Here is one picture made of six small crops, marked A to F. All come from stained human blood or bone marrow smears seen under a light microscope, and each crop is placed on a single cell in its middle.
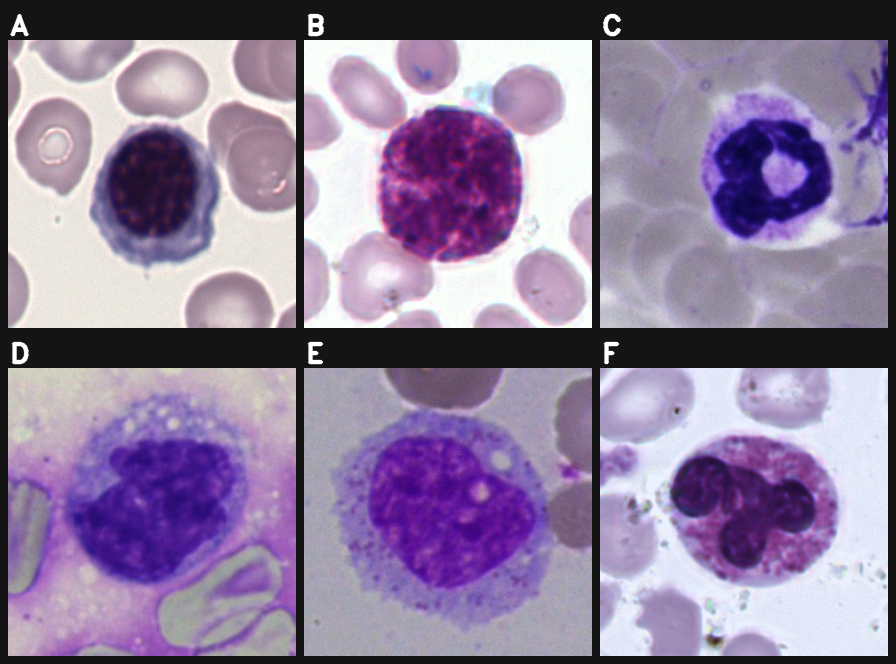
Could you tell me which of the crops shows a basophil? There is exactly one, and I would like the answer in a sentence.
In the set of crops, crop B is the one that contains a basophil.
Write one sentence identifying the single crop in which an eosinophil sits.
Of all the crops, crop F is the one showing an eosinophil.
